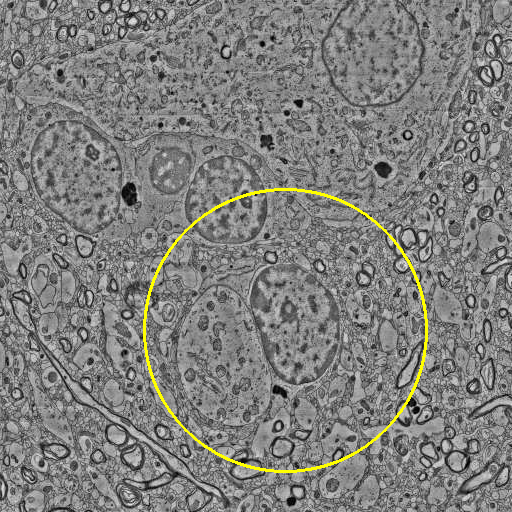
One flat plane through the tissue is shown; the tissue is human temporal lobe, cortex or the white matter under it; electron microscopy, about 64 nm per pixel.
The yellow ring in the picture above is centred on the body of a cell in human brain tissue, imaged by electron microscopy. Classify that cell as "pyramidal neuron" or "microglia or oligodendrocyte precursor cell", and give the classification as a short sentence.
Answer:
The cell in the middle of the ring is a microglial cell or oligodendrocyte precursor cell.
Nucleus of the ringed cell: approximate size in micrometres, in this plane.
In this plane, the nucleus of the cell at the centre of the ring measures about 8 by 5 micrometres.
